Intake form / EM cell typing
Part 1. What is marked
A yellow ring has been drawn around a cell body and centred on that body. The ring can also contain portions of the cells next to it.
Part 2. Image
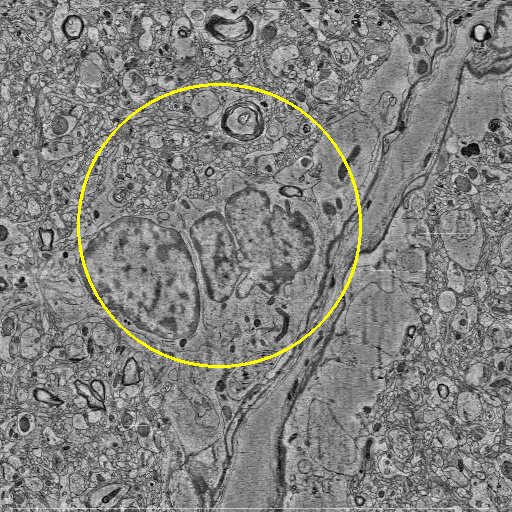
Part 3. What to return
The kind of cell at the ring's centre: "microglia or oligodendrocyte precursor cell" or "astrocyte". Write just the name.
microglia or oligodendrocyte precursor cell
